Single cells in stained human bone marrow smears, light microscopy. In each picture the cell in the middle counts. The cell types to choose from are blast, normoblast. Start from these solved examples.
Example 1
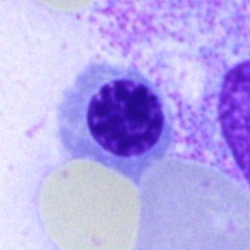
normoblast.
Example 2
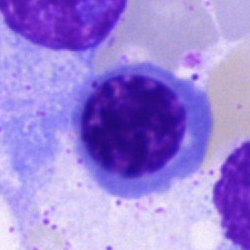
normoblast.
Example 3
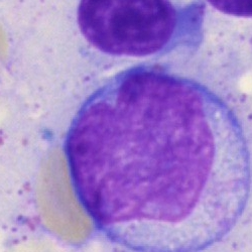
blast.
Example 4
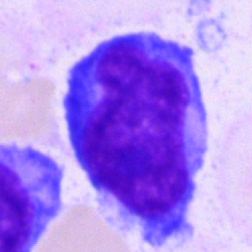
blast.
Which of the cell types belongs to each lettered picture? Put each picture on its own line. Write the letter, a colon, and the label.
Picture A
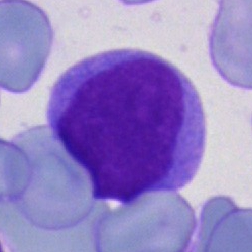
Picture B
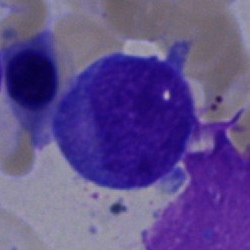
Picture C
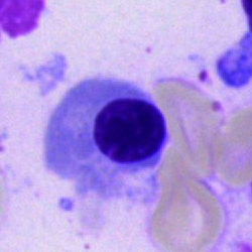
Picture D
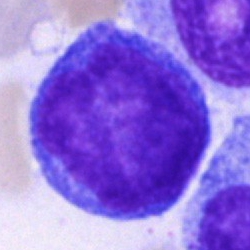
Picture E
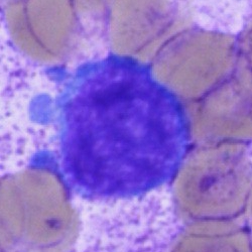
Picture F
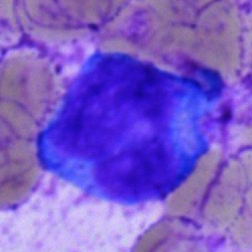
A: blast.
B: blast.
C: normoblast.
D: blast.
E: blast.
F: blast.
